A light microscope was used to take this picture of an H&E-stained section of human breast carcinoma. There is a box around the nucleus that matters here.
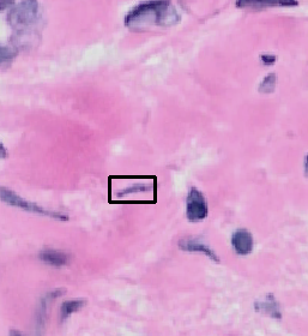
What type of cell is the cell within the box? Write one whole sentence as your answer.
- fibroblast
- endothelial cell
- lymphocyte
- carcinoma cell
The cell within the box is a fibroblast.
